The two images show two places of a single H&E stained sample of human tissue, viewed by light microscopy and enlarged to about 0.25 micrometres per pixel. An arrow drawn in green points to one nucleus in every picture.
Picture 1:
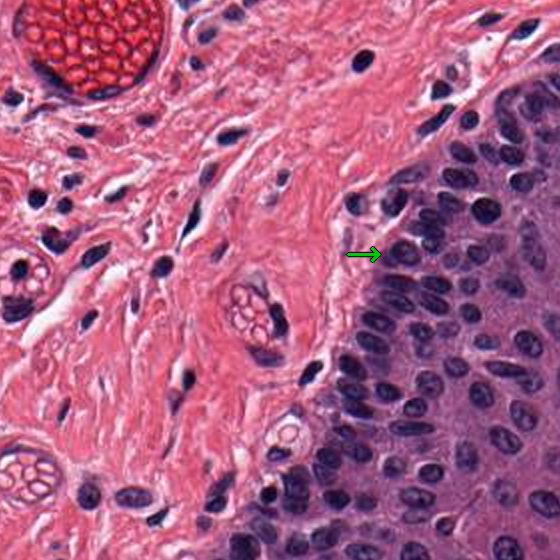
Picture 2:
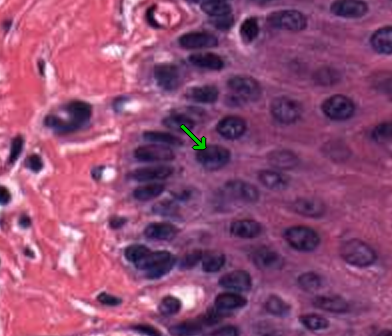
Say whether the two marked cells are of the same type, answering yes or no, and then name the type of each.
Yes, both are squamous epithelial cells.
